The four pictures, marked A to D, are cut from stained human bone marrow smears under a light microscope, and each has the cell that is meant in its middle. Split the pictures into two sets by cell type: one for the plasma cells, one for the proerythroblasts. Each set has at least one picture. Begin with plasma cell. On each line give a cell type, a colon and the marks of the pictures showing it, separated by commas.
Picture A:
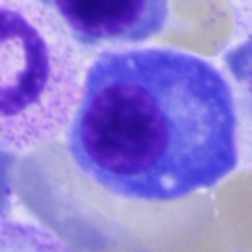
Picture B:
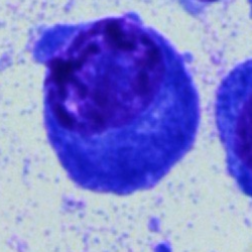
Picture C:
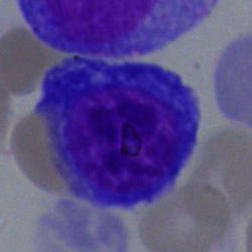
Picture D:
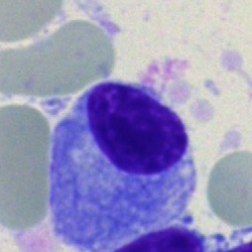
plasma cell: A, B, D
proerythroblast: C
